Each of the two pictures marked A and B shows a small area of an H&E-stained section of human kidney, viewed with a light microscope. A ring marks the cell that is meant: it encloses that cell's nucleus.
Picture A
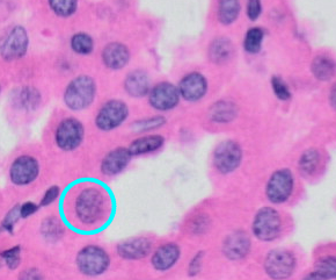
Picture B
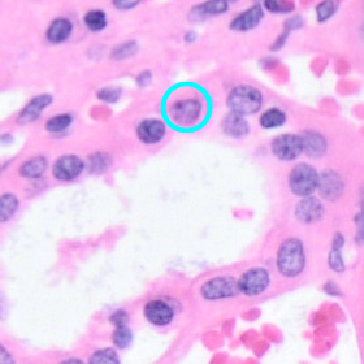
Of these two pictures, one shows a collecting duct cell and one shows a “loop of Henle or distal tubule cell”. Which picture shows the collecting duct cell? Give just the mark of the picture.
B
